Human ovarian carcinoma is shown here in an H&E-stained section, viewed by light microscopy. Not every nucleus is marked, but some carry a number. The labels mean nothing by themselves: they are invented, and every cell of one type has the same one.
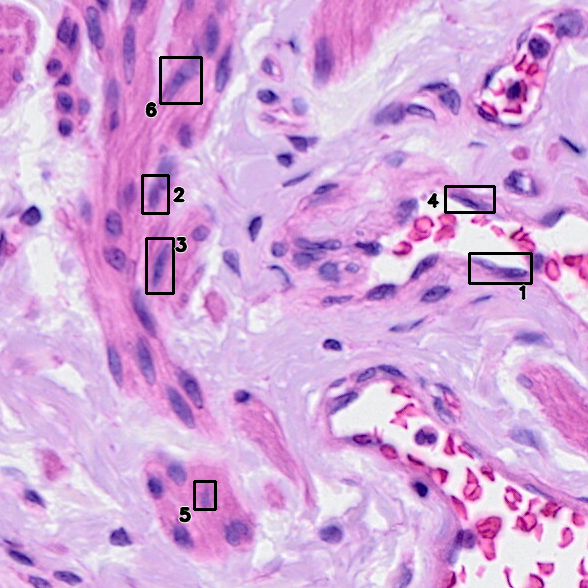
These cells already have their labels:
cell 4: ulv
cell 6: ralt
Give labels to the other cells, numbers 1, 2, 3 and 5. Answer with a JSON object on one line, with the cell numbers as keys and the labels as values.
{"1": "ulv", "2": "ralt", "3": "ralt", "5": "ralt"}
